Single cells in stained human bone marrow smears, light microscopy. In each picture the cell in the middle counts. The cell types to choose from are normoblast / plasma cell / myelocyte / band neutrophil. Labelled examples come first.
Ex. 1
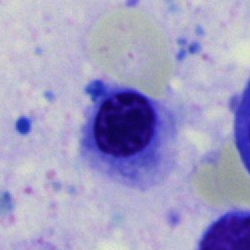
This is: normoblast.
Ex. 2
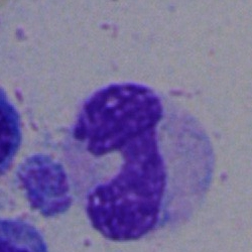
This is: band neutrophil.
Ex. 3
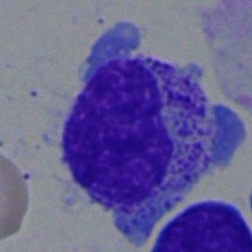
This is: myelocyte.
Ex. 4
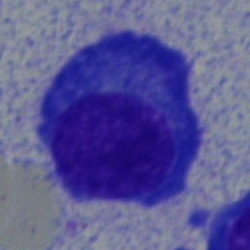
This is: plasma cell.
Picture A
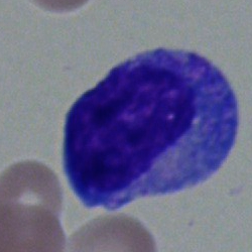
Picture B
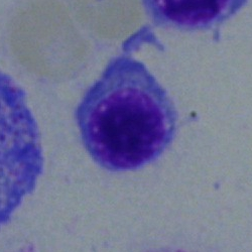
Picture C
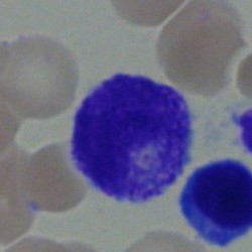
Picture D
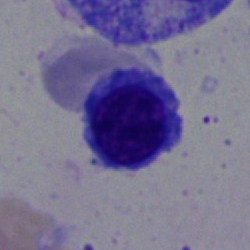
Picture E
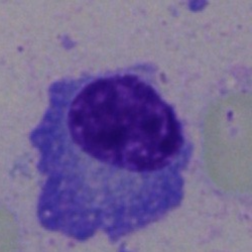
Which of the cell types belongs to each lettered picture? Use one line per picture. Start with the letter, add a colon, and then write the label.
A: myelocyte.
B: normoblast.
C: myelocyte.
D: normoblast.
E: plasma cell.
